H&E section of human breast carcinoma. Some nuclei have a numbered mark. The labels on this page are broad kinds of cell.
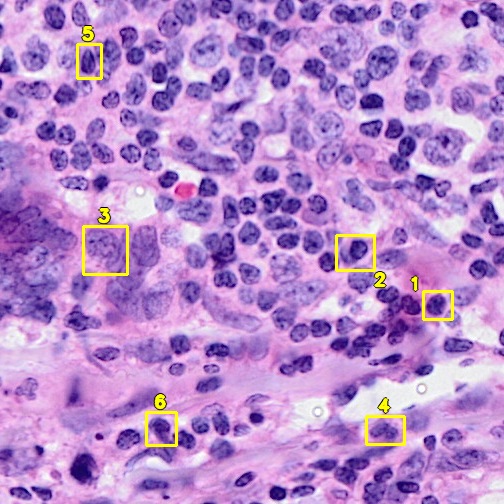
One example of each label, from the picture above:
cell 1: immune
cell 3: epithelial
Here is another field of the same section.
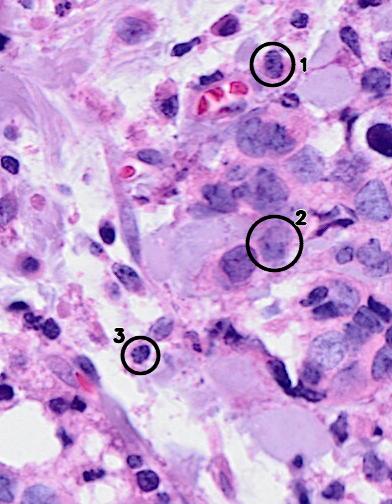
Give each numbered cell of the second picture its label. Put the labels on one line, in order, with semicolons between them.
immune; epithelial; immune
